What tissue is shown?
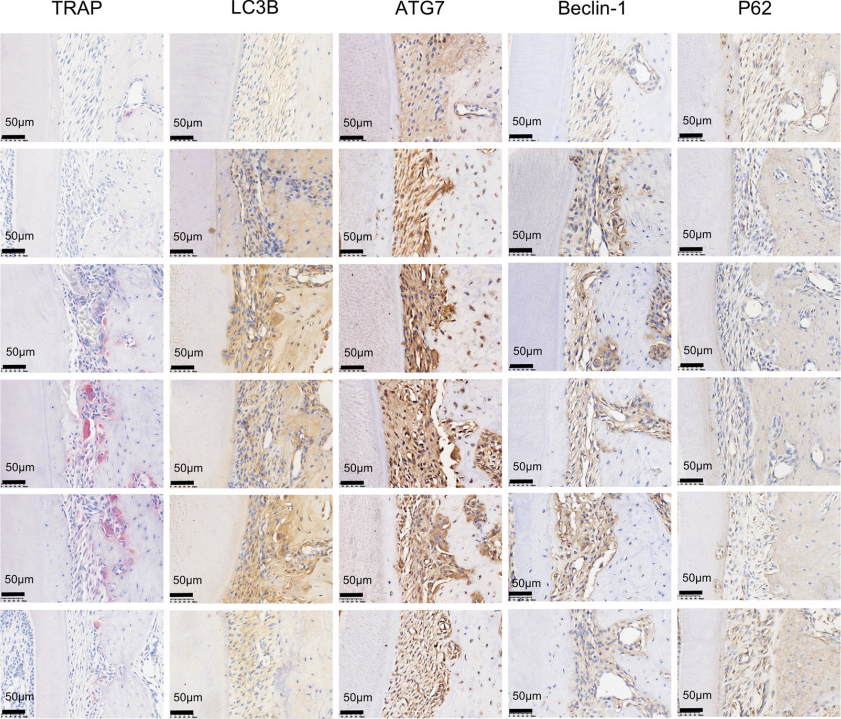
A: Periodontal ligament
